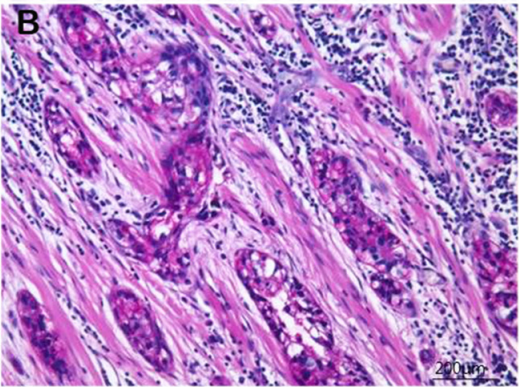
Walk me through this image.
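Elongated nests of clear cells lie between parallel bands of pink fibrous tissue. The cytoplasm of the nest cells holds magenta granular material, mixed with clear vacuolated spaces. Numerous small dark blue round nuclei of inflammatory cells crowd the stroma between the nests.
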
